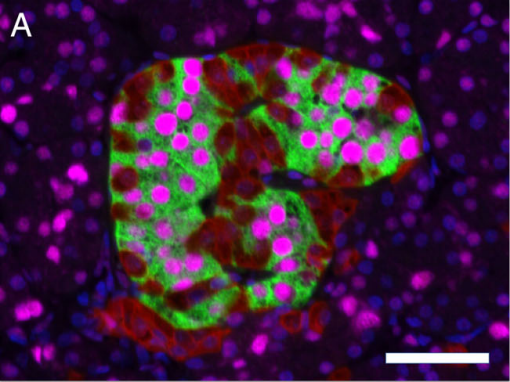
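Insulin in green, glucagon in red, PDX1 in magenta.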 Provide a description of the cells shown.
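This is a pancreatic islet, a rounded and sharply bounded cluster of endocrine cells lying among the surrounding tissue, made mostly of beta cells with scattered alpha cells. Most of the islet's cells have green-filled cytoplasm, and many of their round nuclei glow magenta. Between and around them, particularly along the rim and in a band through the middle, lie red-stained cells whose nuclei are not magenta. A small red cluster also sits just below the islet's lower edge. Outside the islet, the surrounding tissue shows many small blue and magenta nuclei without green or red cytoplasm.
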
